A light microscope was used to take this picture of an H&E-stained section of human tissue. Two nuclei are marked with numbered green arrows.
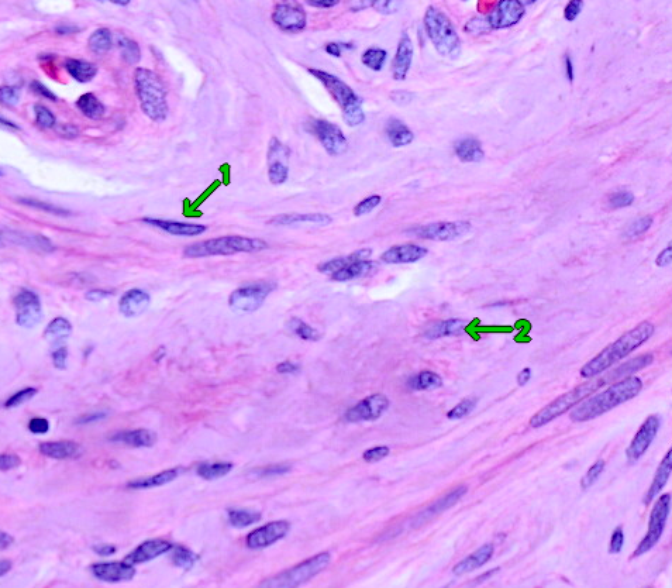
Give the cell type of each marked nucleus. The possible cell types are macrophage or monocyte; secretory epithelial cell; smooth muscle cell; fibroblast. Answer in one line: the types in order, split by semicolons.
fibroblast; smooth muscle cell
